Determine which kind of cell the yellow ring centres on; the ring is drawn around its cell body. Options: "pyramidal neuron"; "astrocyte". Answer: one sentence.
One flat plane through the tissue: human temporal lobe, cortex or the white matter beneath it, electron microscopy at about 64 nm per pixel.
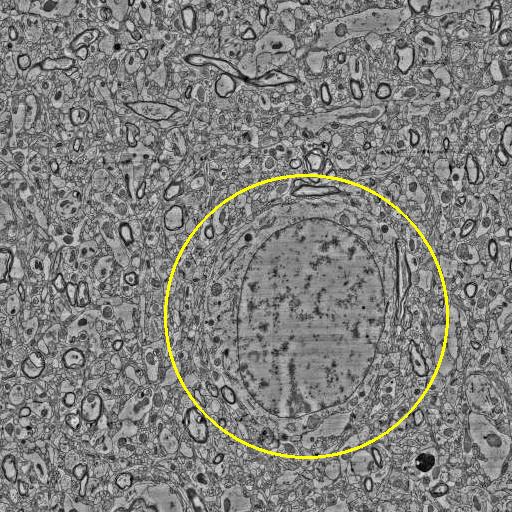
The ring centres on a pyramidal neuron.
